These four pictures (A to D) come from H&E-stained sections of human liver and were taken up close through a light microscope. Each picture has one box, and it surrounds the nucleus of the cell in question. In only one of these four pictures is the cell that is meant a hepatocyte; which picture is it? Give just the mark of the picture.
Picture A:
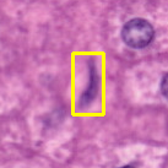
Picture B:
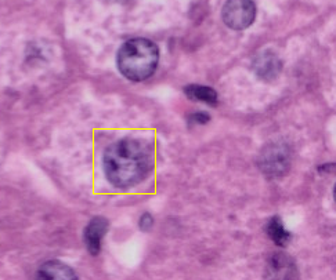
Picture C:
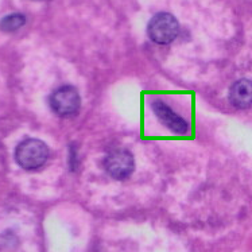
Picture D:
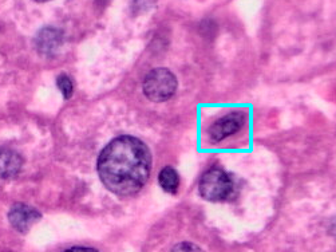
B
